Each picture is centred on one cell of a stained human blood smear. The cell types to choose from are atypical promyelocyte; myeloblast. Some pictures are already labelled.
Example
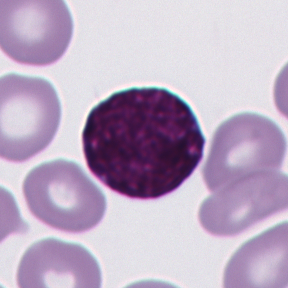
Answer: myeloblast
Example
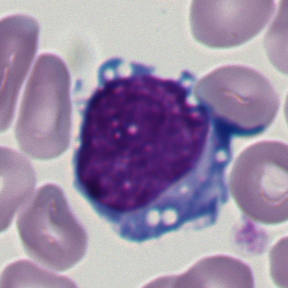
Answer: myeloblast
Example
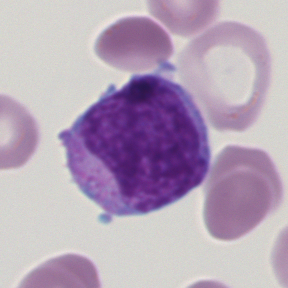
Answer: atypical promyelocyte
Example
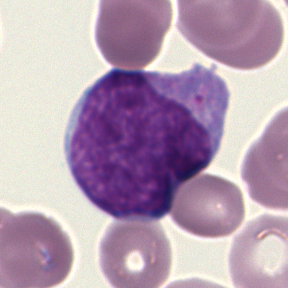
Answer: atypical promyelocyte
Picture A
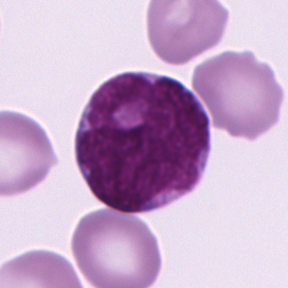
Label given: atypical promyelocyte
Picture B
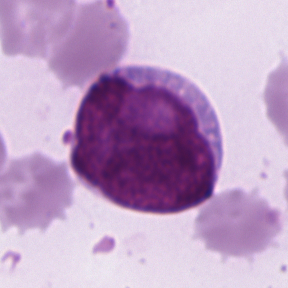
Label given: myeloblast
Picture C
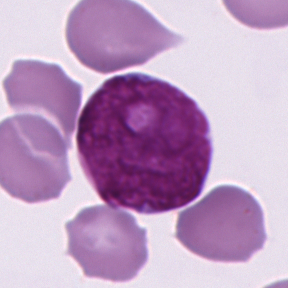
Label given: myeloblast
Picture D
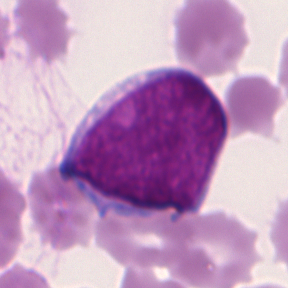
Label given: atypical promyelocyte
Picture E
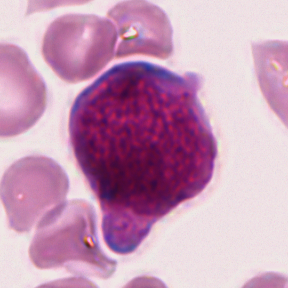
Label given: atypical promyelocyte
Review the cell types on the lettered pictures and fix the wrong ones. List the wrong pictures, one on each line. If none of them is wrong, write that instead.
Wrong: A (atypical promyelocyte); correct: myeloblast
Wrong: D (atypical promyelocyte); correct: myeloblast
